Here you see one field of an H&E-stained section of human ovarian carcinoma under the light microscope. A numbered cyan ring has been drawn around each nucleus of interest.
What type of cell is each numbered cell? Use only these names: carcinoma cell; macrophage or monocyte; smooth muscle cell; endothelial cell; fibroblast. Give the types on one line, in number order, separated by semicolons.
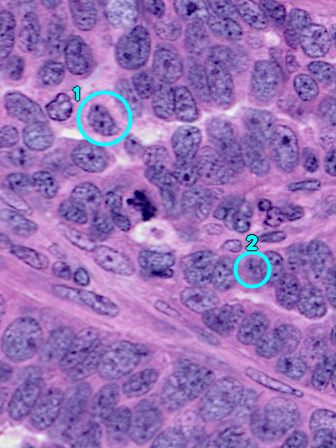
macrophage or monocyte; carcinoma cell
